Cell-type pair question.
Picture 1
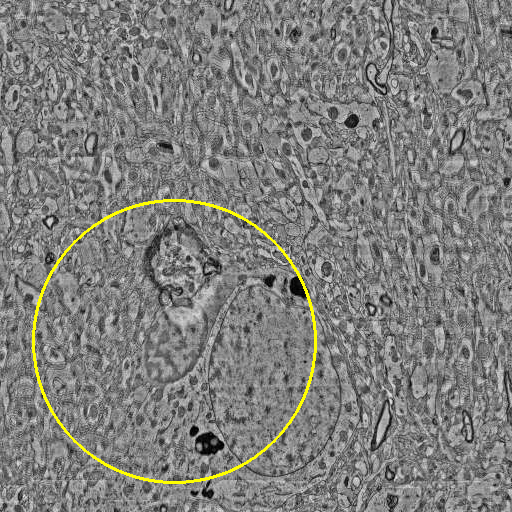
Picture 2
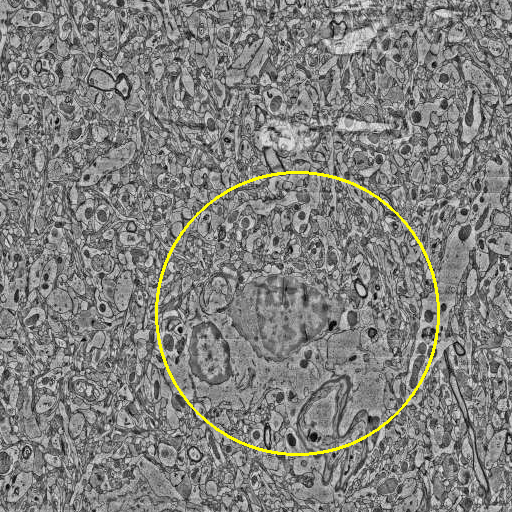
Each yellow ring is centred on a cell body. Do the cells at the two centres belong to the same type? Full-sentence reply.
Yes, the two cells belong to the same type.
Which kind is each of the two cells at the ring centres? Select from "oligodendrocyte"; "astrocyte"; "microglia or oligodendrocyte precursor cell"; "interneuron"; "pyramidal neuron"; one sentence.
Each one of the two ringed cells is an oligodendrocyte.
